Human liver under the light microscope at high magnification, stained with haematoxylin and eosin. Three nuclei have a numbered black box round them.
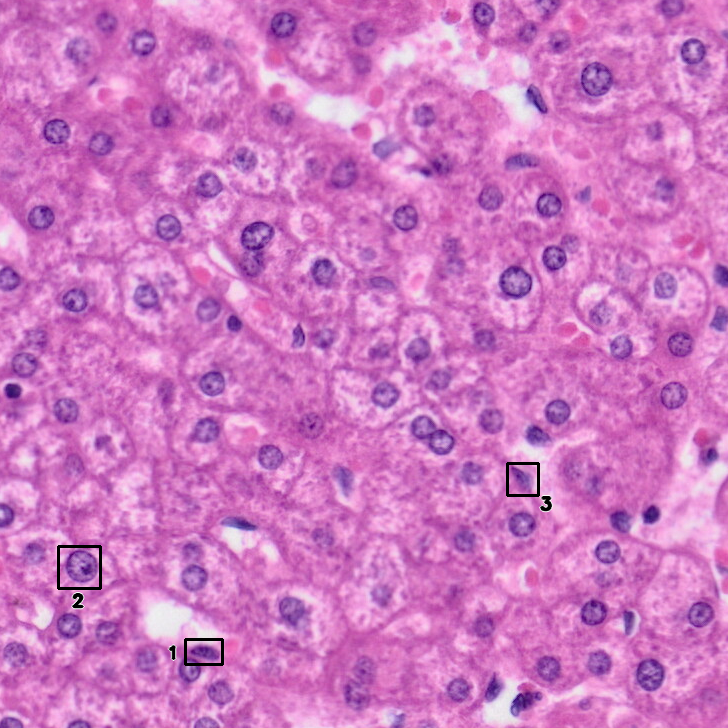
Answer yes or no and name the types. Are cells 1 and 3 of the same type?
No, cell 1 is a Kupffer cell and cell 3 is an endothelial cell.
